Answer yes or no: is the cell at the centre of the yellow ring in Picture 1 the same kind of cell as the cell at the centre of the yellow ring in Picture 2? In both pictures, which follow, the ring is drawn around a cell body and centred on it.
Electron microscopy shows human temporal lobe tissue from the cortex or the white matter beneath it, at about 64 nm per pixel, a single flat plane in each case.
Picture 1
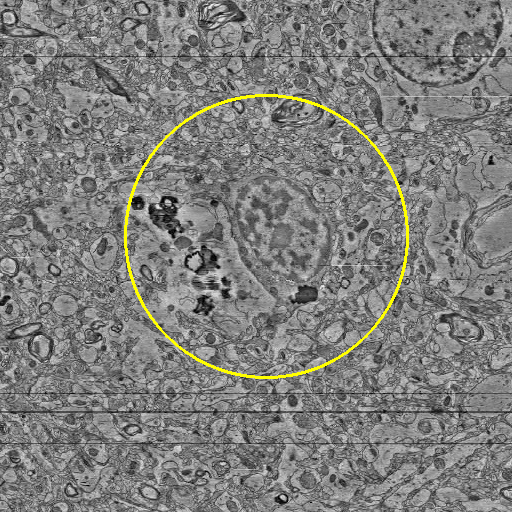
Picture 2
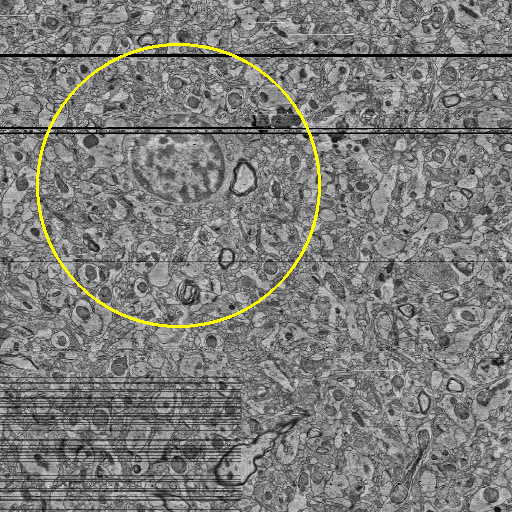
yes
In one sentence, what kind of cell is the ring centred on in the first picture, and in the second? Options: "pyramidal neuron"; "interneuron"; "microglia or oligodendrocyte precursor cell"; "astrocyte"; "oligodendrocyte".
The second cell is an oligodendrocyte, just as the first is.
